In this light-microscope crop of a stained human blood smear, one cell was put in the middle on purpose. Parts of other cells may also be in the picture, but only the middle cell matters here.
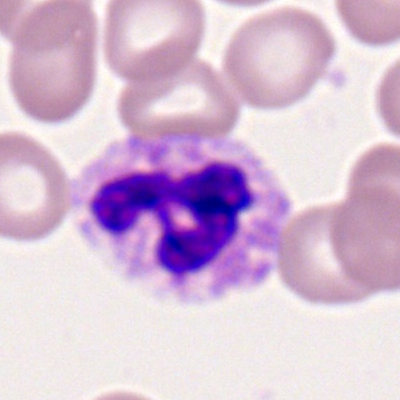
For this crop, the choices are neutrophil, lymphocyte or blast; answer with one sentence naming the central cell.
What the crop centres on is a neutrophil.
